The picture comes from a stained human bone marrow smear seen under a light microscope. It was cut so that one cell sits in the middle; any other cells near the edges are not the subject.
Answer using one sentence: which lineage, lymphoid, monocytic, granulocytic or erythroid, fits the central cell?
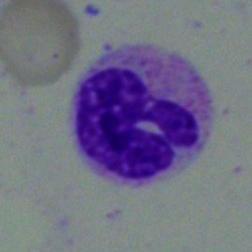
The lineage represented by the cell in the middle is granulocytic.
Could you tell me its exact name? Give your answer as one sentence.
This particular crop is centered on a segmented neutrophil.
